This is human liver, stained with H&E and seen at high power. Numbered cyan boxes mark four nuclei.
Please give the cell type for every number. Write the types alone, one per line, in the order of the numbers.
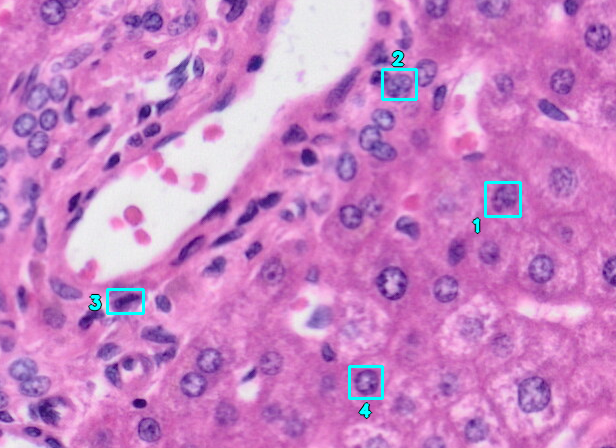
hepatocyte
cholangiocyte
fibroblast or stellate cell
hepatocyte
